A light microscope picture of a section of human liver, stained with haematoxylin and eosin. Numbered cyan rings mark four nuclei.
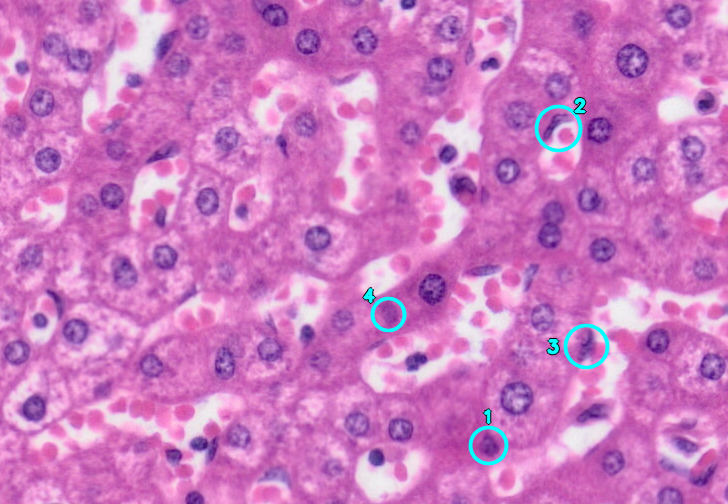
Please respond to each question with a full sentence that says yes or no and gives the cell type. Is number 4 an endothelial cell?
No, number 4 corresponds to a hepatocyte, not an endothelial cell.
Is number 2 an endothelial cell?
Yes, the cell marked by the number 2 is an endothelial cell.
